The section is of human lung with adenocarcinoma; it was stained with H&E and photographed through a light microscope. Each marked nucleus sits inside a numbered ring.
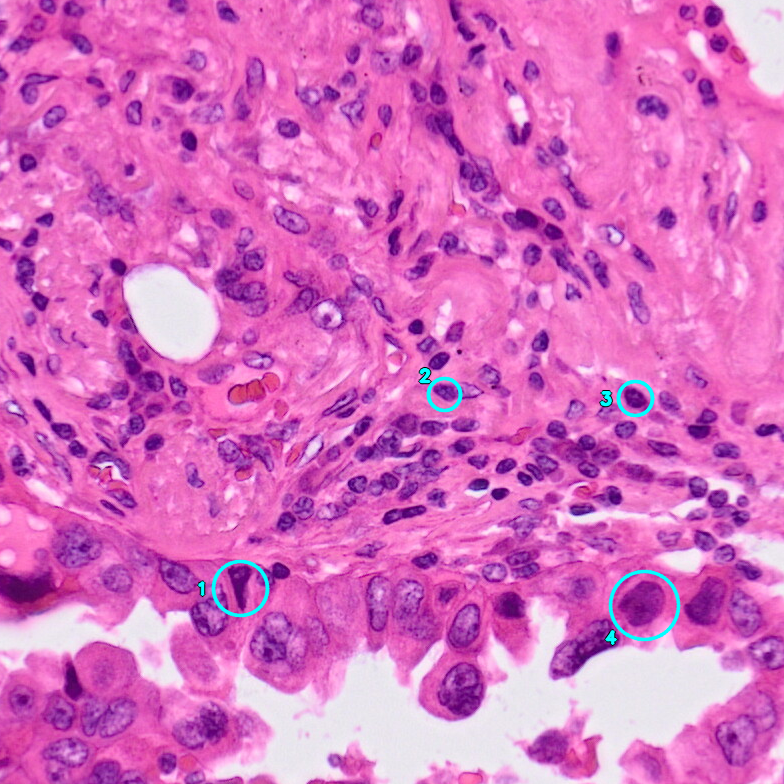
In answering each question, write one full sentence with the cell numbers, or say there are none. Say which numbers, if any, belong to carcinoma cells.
In short, the numbered cells 1 and 4 are carcinoma cells.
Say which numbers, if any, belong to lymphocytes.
Only the cell with the number 2 is a lymphocyte.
